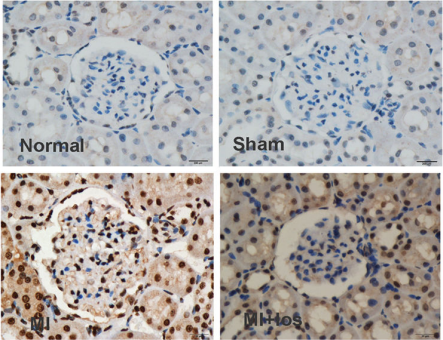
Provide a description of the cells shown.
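Four fields of renal cortex, each centred on a glomerulus: a rounded tuft of capillary loops with crowded small nuclei, separated by a clear capsular space from a thin capsule, surrounded by cross-sectioned tubules lined by cuboidal epithelium with pale cytoplasm. In two upper fields nuclei are almost all blue, with little brown. In the lower left field many nuclei are dark brown, both in cells within and at the edge of the tuft and in the tubular epithelium, and the tubular cytoplasm is diffusely tan. The lower right field shows brown nuclei mainly in the tubules and fewer in the tuft.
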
